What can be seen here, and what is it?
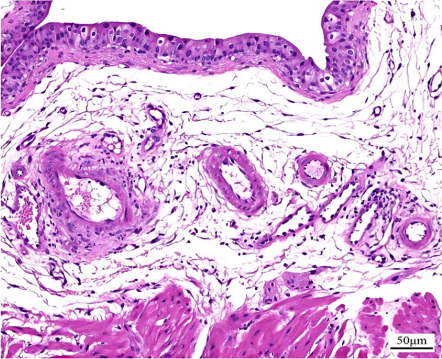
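A bladder wall with a multilayered epithelium of rounded cells with purple nuclei along the top, resting on a hugely widened subepithelial layer. This layer is pale and loose, its fine pink fibres spread apart by clear spaces, as in edema. Several thick-walled vessels and smaller vessel profiles lie within it, some with a few red cells nearby, and scattered small dark nuclei of loose cells dot the tissue, fitting an inflammatory infiltrate. Pink smooth muscle bundles appear only at the bottom edge, pushed far from the epithelium.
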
